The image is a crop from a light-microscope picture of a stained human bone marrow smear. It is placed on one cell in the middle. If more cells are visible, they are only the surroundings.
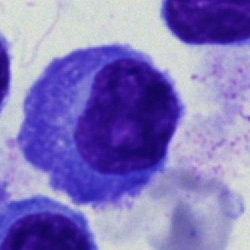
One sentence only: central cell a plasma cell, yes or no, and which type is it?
Yes, a plasma cell is the cell positioned in the middle of the field.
